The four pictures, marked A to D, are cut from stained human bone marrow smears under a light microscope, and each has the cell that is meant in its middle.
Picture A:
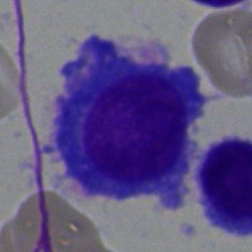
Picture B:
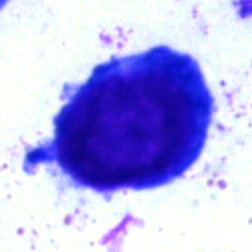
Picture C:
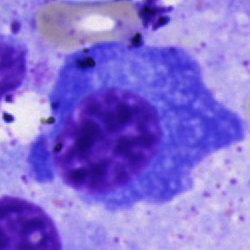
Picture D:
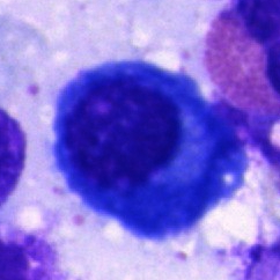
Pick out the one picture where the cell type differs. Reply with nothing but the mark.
B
